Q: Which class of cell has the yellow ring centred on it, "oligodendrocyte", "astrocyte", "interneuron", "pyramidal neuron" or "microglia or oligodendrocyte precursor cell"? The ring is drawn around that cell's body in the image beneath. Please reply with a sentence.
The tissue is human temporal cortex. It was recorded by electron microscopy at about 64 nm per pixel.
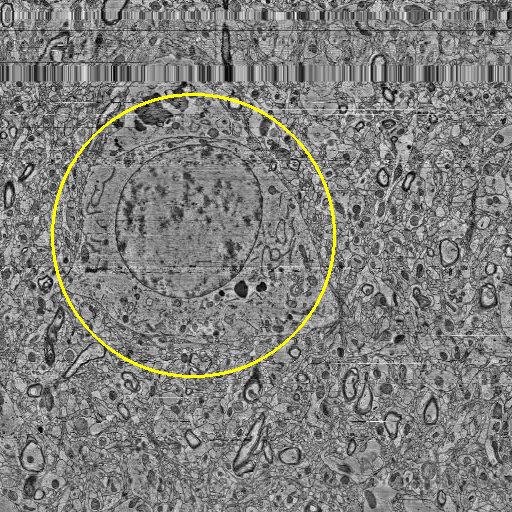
It is centred on a pyramidal neuron.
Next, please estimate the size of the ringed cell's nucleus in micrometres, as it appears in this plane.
The ringed cell's nucleus is about 10 micrometres across in this plane.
